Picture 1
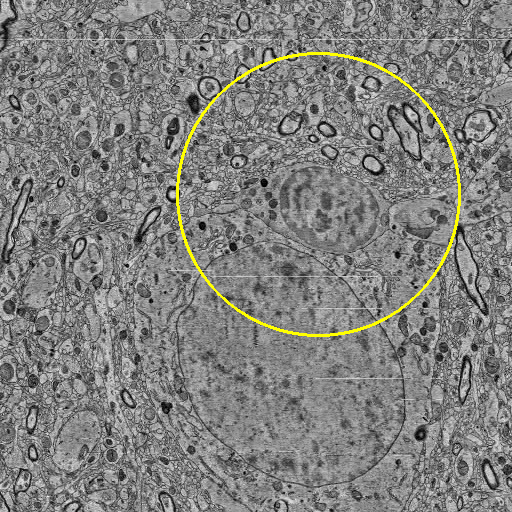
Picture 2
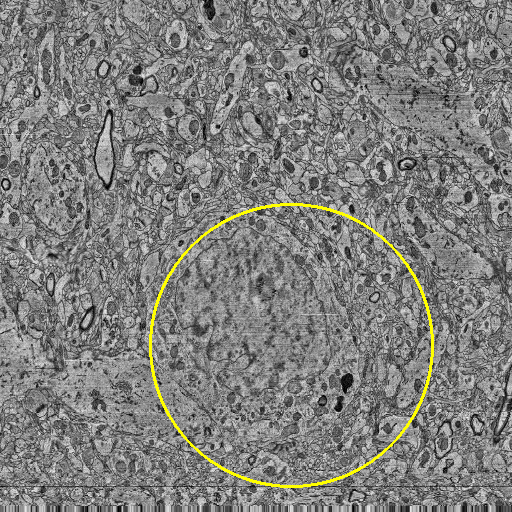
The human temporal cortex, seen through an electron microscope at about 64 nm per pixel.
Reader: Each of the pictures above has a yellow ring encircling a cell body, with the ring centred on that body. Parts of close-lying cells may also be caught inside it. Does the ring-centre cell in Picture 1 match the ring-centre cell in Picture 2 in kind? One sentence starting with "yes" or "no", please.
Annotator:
No, Picture 1 and Picture 2 show ring-centre cells of two kinds.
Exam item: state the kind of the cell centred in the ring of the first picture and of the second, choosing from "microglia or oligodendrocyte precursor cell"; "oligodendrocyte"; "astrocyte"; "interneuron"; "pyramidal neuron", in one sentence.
The first picture shows an oligodendrocyte at the ring centre and the second shows an interneuron.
